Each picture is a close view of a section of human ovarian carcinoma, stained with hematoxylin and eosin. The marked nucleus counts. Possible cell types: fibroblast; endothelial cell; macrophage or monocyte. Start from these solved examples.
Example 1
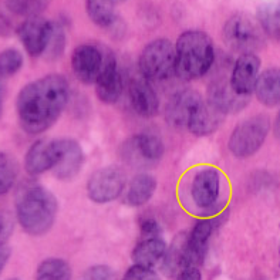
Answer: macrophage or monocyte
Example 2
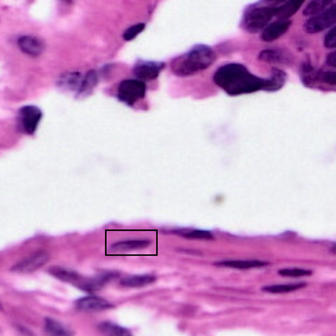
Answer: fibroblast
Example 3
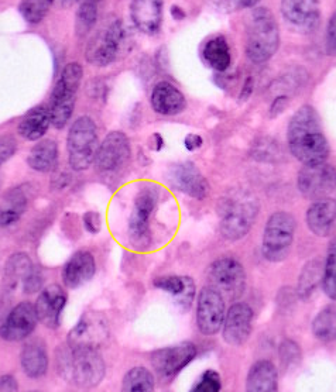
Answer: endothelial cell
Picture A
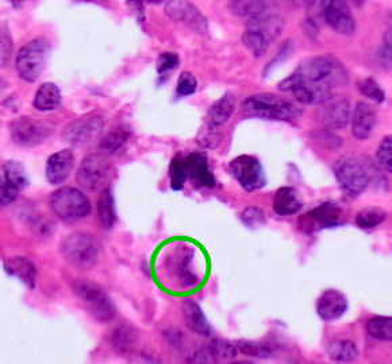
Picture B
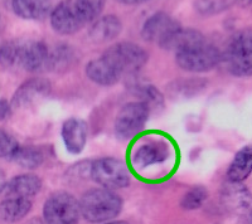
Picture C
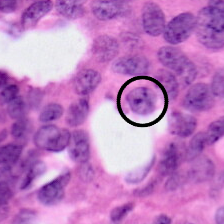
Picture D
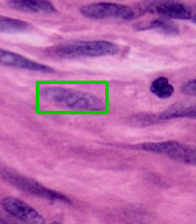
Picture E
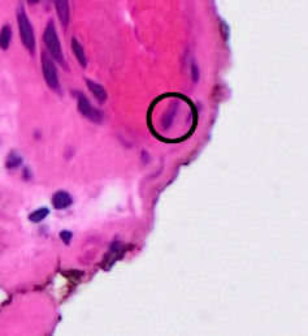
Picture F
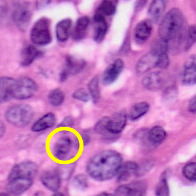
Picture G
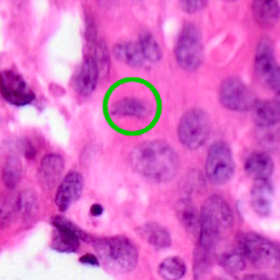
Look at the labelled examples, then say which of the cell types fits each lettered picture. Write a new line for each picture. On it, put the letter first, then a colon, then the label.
A: macrophage or monocyte
B: macrophage or monocyte
C: macrophage or monocyte
D: fibroblast
E: endothelial cell
F: macrophage or monocyte
G: endothelial cell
